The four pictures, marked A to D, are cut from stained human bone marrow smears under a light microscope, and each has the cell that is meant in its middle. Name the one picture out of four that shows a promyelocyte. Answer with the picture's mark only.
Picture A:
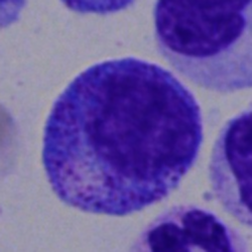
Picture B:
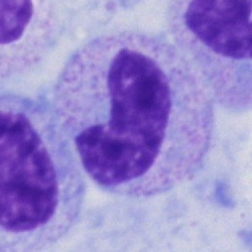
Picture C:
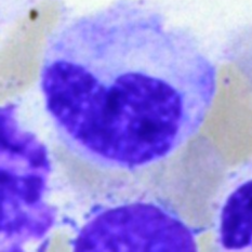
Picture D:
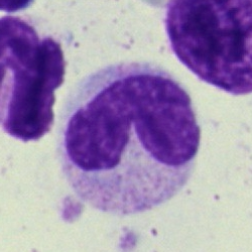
A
